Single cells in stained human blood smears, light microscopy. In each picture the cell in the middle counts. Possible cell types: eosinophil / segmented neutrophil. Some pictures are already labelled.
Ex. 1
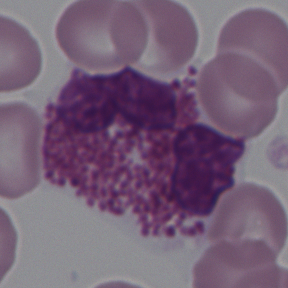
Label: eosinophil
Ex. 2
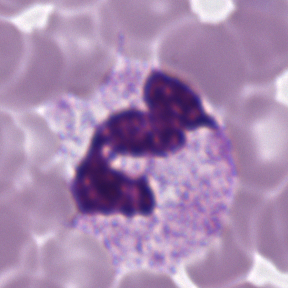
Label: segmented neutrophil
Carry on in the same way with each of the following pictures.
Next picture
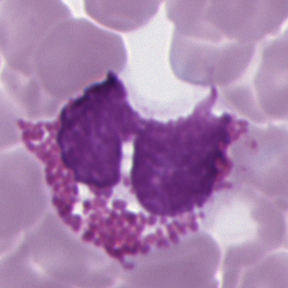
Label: eosinophil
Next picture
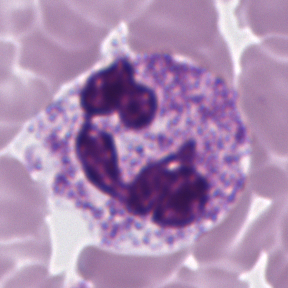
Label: segmented neutrophil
